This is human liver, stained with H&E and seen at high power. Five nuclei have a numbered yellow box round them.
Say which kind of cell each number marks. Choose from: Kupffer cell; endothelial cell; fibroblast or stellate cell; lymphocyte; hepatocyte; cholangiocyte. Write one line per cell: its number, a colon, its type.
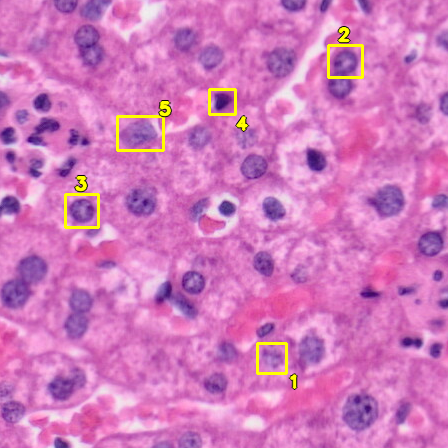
1: hepatocyte
2: hepatocyte
3: hepatocyte
4: fibroblast or stellate cell
5: endothelial cell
